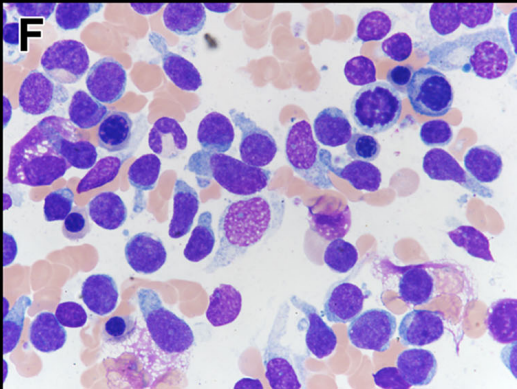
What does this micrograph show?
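This bone marrow aspirate smear is crowded with blastic cells lying among red blood cells. The blasts are medium to large, with round to oval purple nuclei of fine, evenly dispersed chromatin and a rim of pale blue-grey cytoplasm. In several cells the cytoplasm gathers at one pole into a tail-like extension, giving the cell a hand mirror shape. A few smaller cells with dense, dark round nuclei are scattered between them, and pink red blood cells fill the background.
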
